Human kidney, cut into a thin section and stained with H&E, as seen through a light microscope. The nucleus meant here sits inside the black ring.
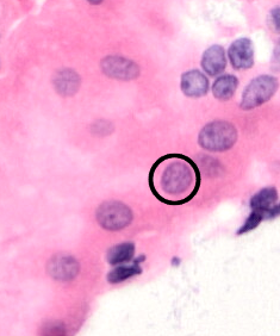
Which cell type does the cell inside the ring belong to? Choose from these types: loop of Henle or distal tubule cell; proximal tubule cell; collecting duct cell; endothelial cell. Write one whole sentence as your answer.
Within the stained tissue, the cell inside the ring is a proximal tubule cell.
